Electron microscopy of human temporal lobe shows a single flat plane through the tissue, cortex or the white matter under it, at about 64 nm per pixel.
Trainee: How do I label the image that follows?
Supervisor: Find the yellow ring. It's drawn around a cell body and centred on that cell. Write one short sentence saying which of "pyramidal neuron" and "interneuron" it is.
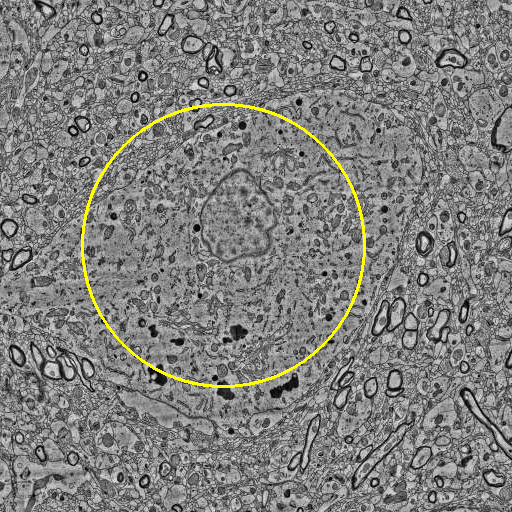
This is the cell body of a pyramidal neuron.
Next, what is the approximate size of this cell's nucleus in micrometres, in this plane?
Roughly 6 by 5 micrometres in this plane, for the nucleus of the ringed cell.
